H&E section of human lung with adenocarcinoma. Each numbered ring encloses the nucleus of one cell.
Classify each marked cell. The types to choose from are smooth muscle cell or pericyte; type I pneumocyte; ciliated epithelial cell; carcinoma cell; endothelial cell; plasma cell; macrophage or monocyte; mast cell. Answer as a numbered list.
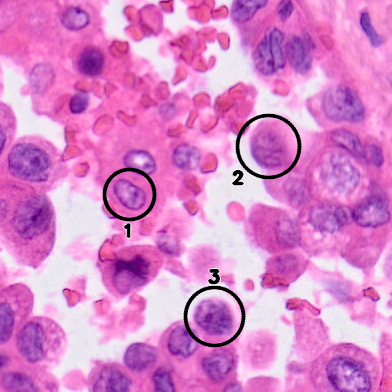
1. macrophage or monocyte
2. carcinoma cell
3. carcinoma cell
